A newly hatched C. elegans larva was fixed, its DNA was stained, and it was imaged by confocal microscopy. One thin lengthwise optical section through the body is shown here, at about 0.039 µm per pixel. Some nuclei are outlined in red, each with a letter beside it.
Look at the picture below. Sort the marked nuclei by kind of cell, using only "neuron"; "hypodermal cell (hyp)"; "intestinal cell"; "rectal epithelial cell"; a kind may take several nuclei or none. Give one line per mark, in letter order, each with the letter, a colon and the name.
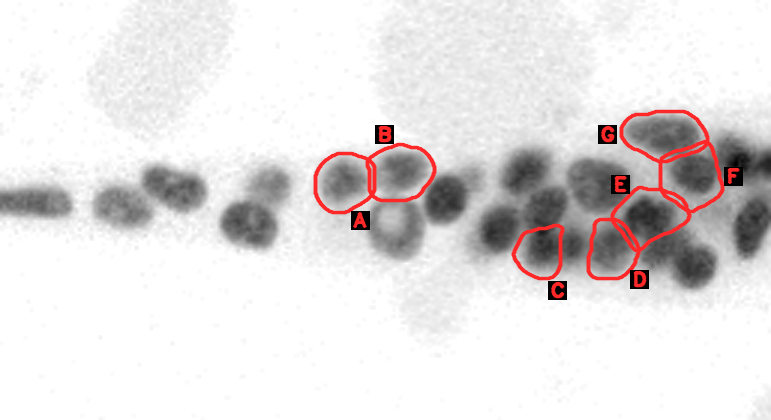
A: hypodermal cell (hyp)
B: hypodermal cell (hyp)
C: neuron
D: neuron
E: rectal epithelial cell
F: rectal epithelial cell
G: rectal epithelial cell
